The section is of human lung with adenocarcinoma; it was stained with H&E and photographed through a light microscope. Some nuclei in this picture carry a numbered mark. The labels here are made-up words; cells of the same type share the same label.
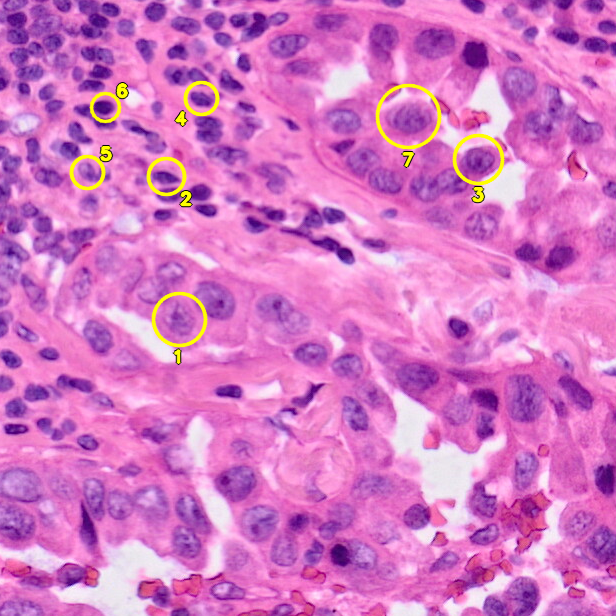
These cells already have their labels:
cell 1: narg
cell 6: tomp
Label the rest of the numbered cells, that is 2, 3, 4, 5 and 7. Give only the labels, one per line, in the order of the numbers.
tomp
narg
tomp
tomp
narg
